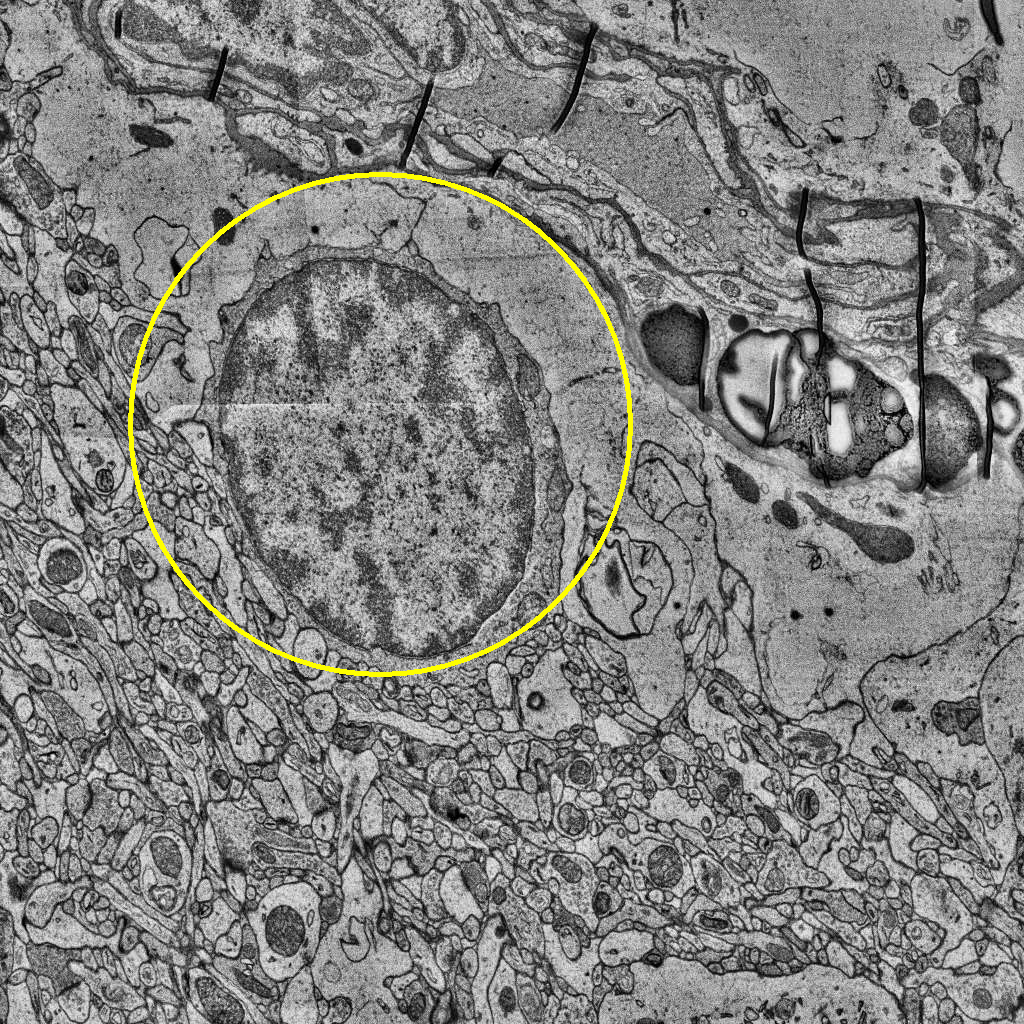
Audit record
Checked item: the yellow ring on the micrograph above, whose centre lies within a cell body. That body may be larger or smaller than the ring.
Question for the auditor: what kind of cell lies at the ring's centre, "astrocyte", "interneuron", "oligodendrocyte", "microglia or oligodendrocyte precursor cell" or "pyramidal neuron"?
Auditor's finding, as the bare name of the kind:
oligodendrocyte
